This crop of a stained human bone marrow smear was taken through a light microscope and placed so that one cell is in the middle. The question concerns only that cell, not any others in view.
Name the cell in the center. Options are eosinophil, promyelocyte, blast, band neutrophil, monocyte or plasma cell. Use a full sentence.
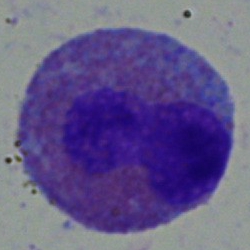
The cell of interest, in the center, is an eosinophil.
